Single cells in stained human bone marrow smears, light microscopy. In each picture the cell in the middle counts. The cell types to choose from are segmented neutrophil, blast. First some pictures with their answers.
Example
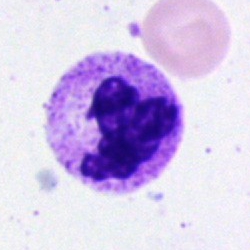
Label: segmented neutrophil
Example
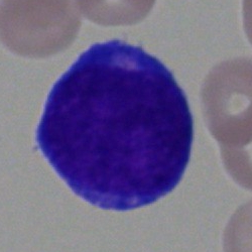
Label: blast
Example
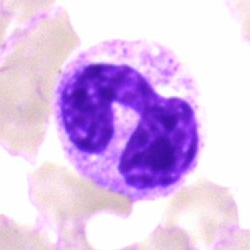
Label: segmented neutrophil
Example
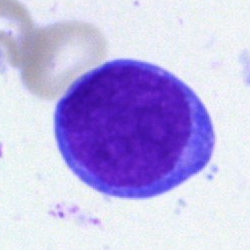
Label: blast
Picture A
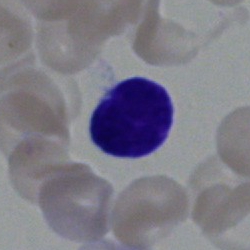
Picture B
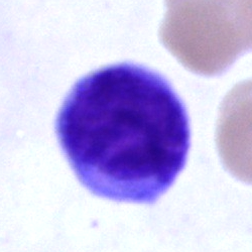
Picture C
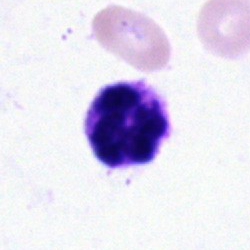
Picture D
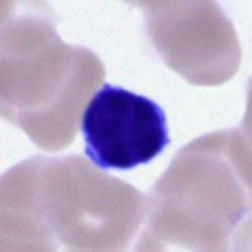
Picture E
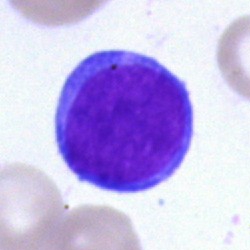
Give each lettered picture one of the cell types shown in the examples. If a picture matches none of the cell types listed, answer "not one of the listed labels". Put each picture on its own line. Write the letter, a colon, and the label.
A: not one of the listed labels
B: blast
C: segmented neutrophil
D: not one of the listed labels
E: blast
